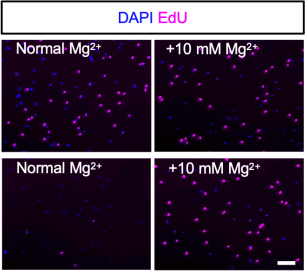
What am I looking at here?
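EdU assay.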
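Four low-magnification fields of cultured cells are seen from above on a dark background. Each cell appears only as a small round or oval nucleus, scattered singly and fairly evenly with no tissue arrangement. In the upper two fields and the lower right field, many nuclei are magenta. In the lower left field, the nuclei look sparser and fewer of them are magenta.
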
